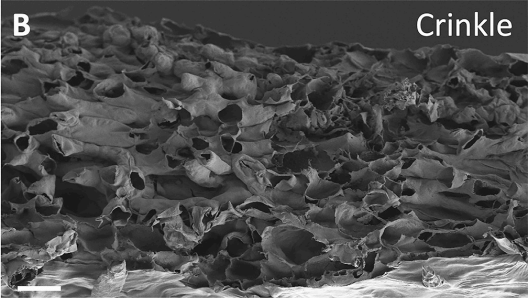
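This is a cross-section of a leaf whose cells are crowded into an irregular, disordered tissue. The regular upright column of cells beneath the upper surface is not clearly seen. Cells appear flattened, folded and wrinkled, with thin collapsed-looking walls. The gaps between cells are small and narrow rather than forming large open air spaces. The layering of the blade is hard to make out.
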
